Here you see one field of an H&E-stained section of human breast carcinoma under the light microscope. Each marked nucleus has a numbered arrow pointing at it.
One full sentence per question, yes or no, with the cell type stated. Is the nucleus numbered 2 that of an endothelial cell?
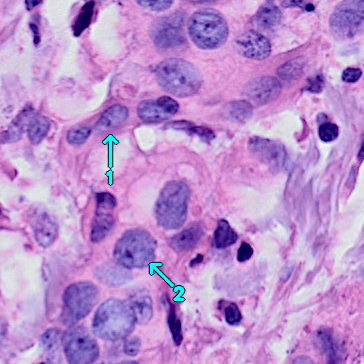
No, the cell given number 2 is a carcinoma cell, as opposed to an endothelial cell.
